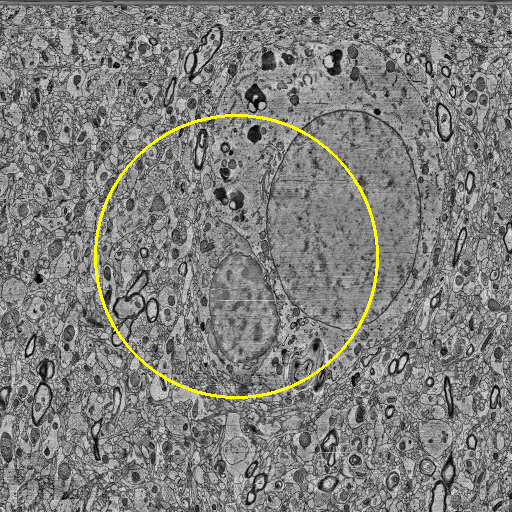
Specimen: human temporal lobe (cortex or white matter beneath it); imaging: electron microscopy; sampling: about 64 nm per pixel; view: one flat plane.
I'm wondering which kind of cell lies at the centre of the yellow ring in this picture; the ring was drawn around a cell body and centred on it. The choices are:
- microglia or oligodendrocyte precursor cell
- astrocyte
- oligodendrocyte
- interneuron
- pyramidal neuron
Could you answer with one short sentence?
At the centre of the ring lies an oligodendrocyte.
